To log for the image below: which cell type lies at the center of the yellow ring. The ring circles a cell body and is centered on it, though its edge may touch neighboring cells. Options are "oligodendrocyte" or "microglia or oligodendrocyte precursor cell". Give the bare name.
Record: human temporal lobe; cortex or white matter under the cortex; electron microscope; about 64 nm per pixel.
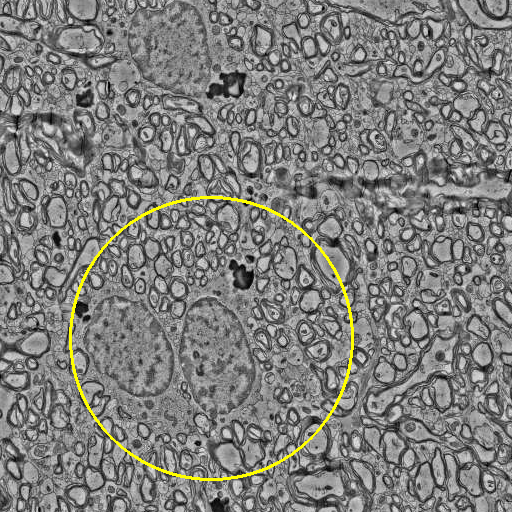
oligodendrocyte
